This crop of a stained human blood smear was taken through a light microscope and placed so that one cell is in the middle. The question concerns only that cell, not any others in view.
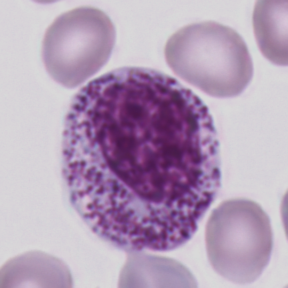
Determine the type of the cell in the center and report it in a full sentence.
The cell of interest, in the center, is a myelocyte.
